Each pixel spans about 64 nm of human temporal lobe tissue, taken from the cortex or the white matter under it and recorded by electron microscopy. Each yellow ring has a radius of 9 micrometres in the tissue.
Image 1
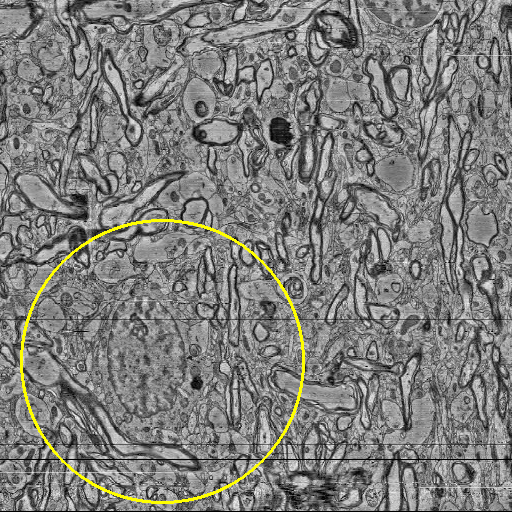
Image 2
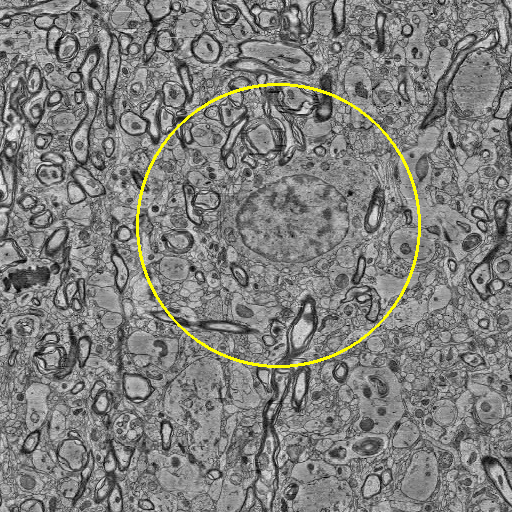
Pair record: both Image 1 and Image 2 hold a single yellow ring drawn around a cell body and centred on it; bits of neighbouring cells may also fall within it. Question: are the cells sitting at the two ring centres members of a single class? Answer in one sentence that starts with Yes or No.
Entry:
Yes, both ring-centre cells in Image 1 and Image 2 are members of one class.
